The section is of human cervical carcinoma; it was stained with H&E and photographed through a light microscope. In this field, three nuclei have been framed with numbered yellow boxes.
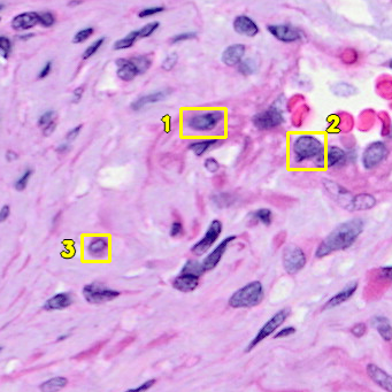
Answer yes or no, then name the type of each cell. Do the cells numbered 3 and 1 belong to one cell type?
Yes, the cells numbered 3 and 1 are both smooth muscle cells.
